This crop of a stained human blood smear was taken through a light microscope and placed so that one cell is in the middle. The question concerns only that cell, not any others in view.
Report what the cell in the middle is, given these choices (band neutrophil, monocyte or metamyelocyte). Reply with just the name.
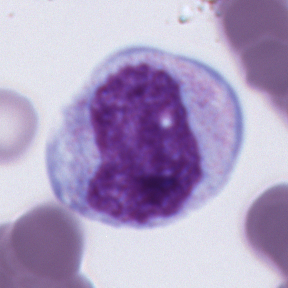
metamyelocyte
